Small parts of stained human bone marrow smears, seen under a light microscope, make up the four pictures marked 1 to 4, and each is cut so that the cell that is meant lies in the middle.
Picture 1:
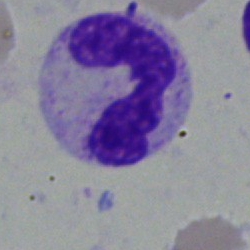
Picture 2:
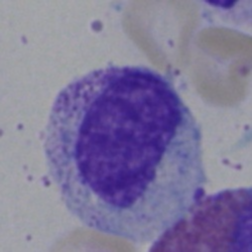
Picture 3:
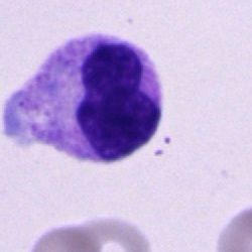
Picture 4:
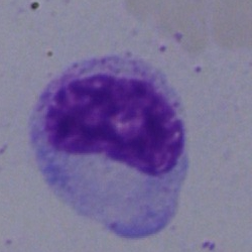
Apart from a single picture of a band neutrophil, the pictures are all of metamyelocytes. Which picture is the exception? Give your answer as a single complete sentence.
The band neutrophil is the one in picture 1.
